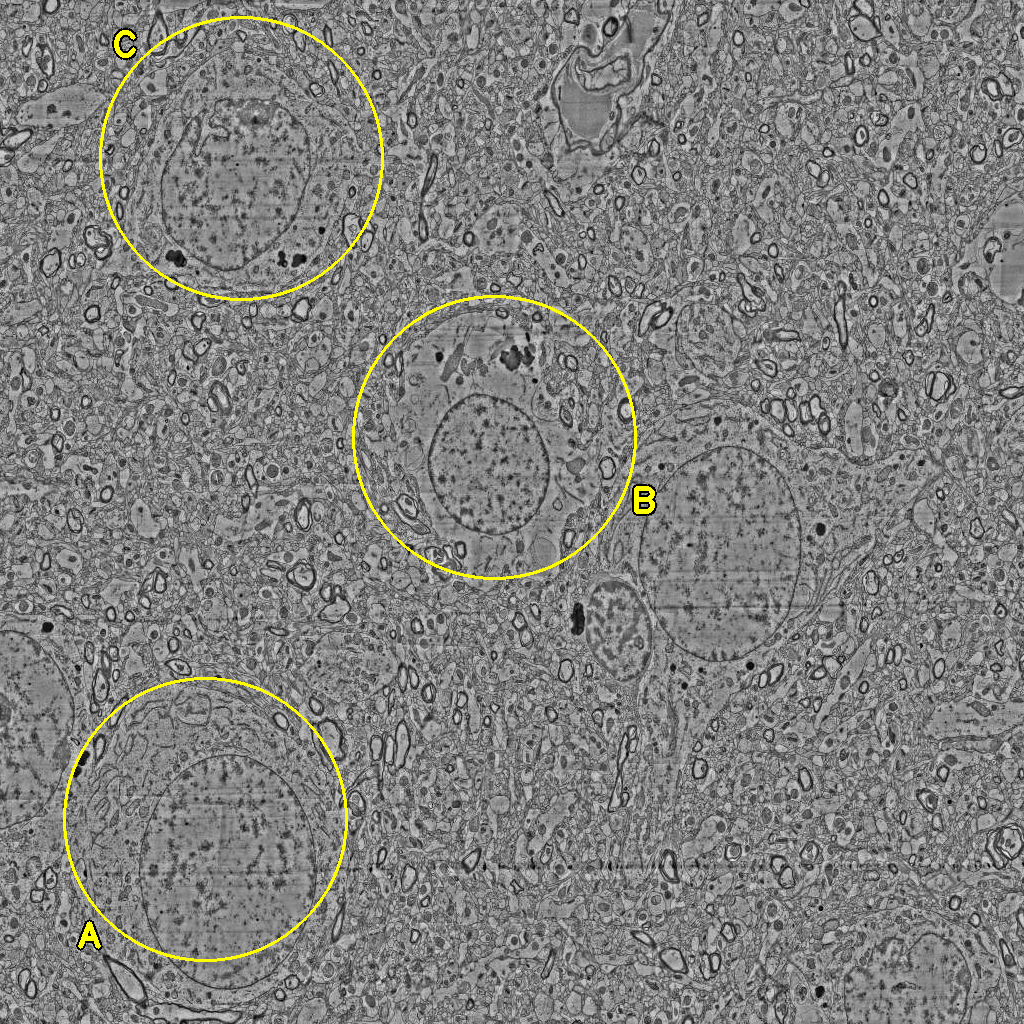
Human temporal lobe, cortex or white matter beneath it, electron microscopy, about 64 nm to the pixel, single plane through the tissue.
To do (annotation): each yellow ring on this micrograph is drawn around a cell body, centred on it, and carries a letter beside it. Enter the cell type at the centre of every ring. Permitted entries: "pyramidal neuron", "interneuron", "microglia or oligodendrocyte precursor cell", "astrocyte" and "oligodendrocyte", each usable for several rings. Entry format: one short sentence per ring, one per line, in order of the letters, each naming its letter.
Ring A: the cell at its centre is a pyramidal neuron.
Ring B: the cell at its centre is an astrocyte.
Ring C: the cell at its centre is an interneuron.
